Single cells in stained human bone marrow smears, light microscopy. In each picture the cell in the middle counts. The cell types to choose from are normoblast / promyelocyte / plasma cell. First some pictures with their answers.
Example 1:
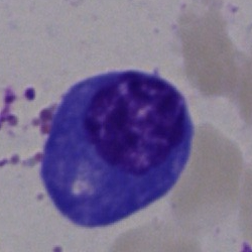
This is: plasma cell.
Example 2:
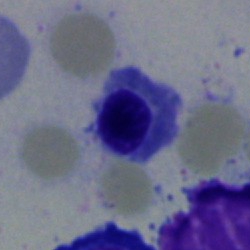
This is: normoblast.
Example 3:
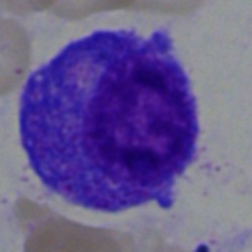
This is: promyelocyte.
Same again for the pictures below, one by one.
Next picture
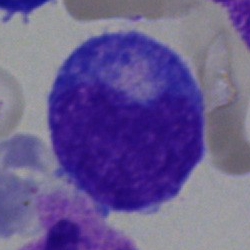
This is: promyelocyte.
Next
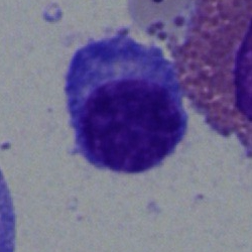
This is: plasma cell.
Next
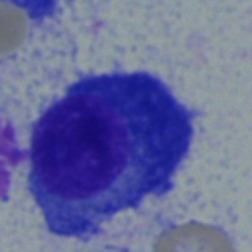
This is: plasma cell.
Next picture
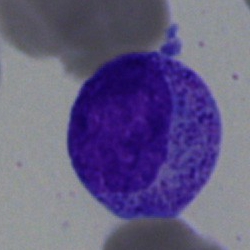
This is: promyelocyte.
